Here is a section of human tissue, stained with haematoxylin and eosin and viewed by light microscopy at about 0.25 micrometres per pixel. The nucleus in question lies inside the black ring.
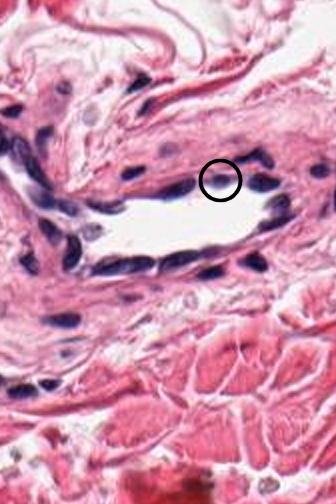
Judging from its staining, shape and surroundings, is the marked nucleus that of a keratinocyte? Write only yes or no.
no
